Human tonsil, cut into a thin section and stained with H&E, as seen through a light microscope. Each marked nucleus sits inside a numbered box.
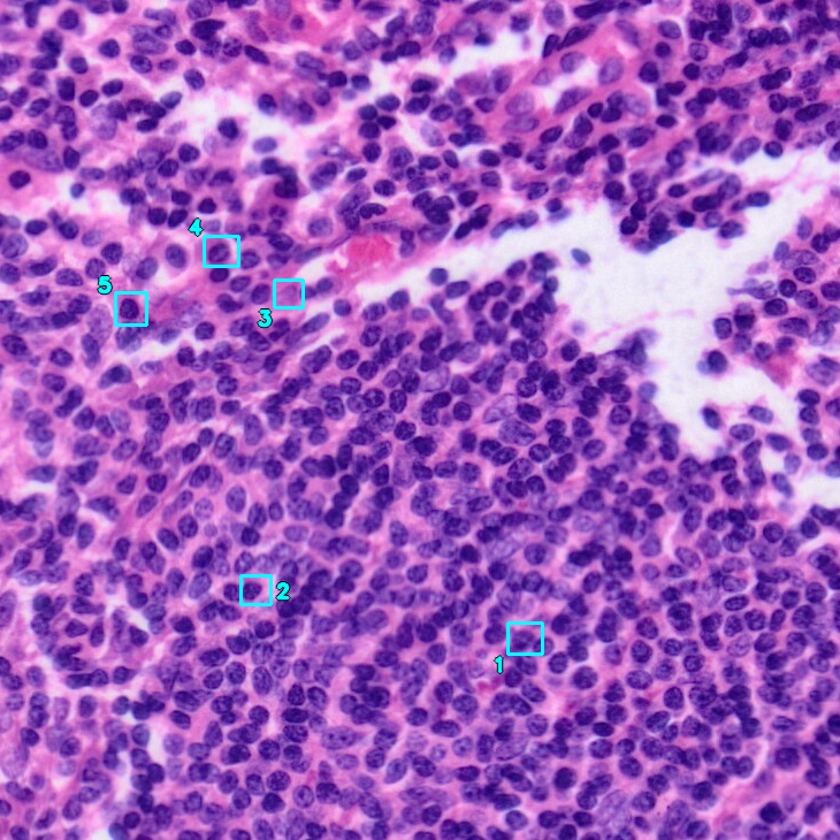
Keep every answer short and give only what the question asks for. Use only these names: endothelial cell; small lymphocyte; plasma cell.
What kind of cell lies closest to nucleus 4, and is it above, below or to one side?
a plasma cell, below nucleus 4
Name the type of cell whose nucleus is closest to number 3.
endothelial cell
